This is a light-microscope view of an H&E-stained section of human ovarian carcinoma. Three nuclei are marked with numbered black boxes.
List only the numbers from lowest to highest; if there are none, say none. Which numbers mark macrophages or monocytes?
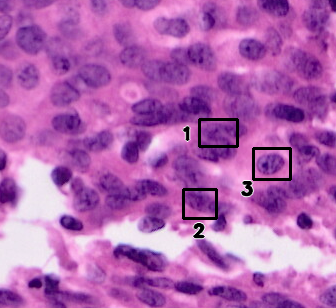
3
